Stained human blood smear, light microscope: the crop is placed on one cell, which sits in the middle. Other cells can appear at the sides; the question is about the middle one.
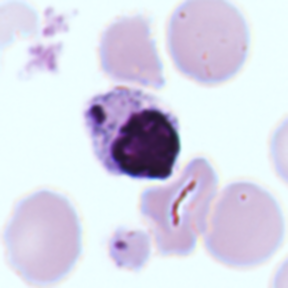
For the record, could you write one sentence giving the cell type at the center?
What the crop centres on is a normoblast.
